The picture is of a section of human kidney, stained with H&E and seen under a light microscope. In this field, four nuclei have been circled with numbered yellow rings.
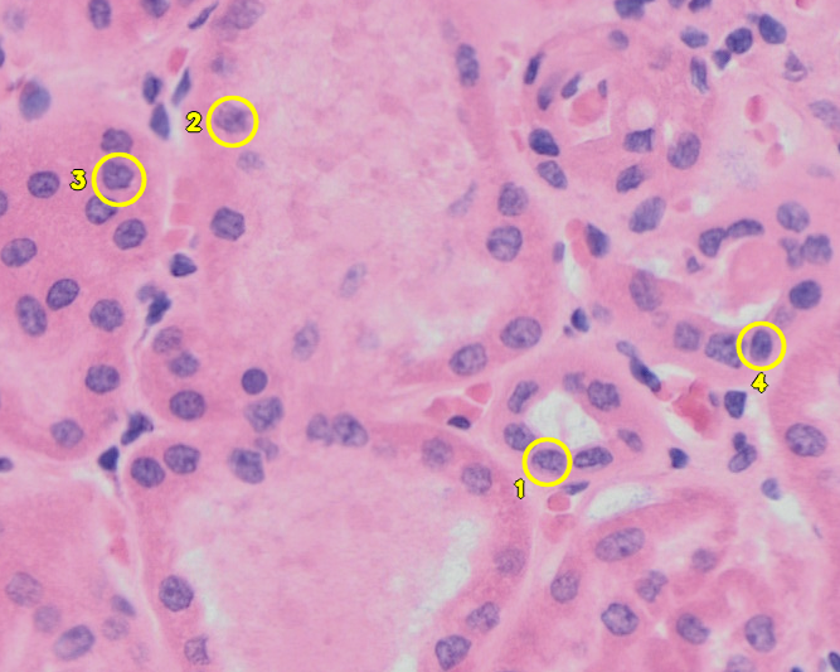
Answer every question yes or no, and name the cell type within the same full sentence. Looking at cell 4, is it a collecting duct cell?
Yes, the cell that goes by number 4 is a collecting duct cell.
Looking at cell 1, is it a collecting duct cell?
Yes, with respect to number 1, the cell is a collecting duct cell.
